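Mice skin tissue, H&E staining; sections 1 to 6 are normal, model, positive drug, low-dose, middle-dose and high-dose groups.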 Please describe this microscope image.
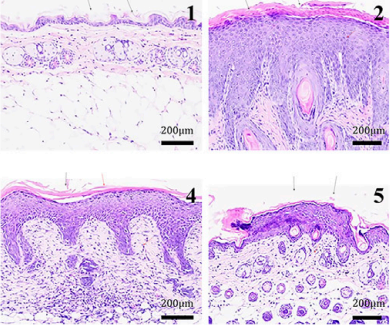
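In a few sections the epidermis is only a few cells thick, while in others it is markedly thickened, with long downward projections into the dermis and a pink, compact layer of keratin on the surface. Where the epidermis is thick, the underlying dermis is crowded with many purple nuclei, suggesting dense cellular infiltration, whereas the thin-epidermis sections have a looser, paler dermis.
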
